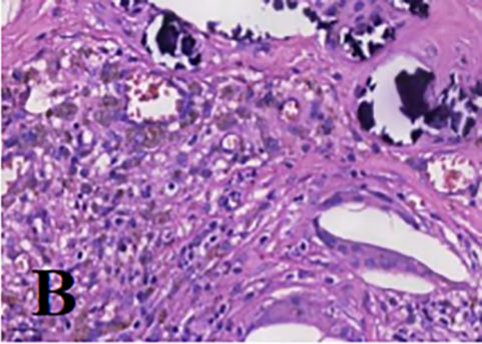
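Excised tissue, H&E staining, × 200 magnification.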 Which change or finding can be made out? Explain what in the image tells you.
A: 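Calcification. Dark purple to black fractured deposits lie in spaces at the top. Deposits are amorphous and brittle-looking, cracked away from surrounding tissue.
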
